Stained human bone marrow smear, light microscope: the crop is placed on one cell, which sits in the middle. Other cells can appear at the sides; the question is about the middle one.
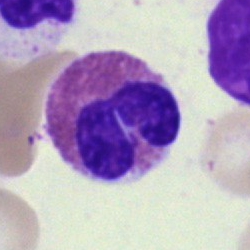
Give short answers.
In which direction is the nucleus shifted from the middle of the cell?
lower right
